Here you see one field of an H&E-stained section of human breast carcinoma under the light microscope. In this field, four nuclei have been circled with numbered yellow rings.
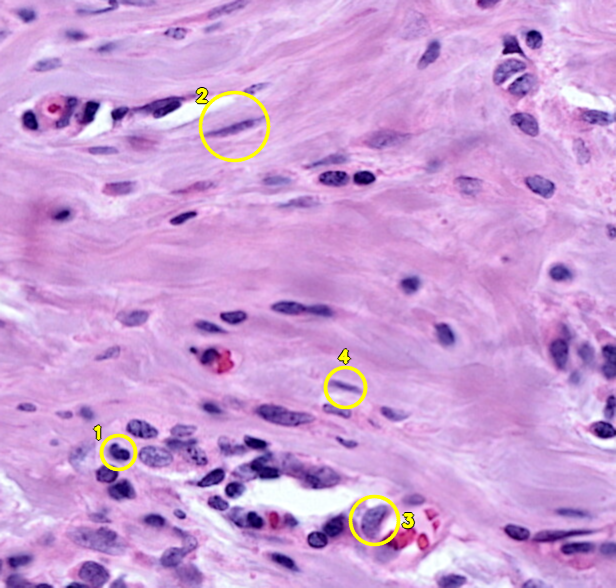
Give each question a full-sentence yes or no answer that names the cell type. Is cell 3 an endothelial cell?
Yes, the cell tagged with number 3 is an endothelial cell.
